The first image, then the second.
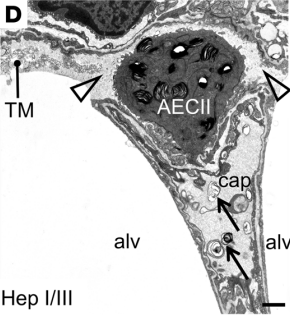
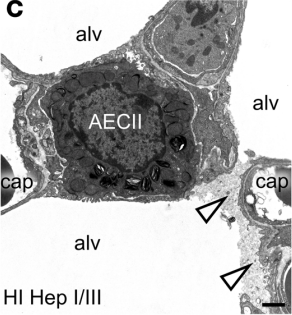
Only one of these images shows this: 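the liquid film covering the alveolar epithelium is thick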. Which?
the first image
